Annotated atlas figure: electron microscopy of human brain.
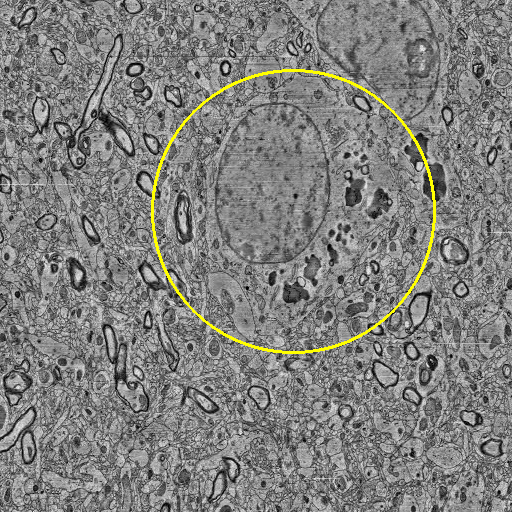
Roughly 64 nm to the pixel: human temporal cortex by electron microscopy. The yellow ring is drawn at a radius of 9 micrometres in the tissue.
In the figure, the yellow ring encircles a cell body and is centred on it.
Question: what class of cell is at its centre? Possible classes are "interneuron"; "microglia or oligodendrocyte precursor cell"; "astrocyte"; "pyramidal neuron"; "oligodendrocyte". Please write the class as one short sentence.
The yellow ring is drawn around an interneuron.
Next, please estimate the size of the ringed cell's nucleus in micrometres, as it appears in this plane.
The nucleus comes to roughly 11 by 7 micrometres in this plane.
